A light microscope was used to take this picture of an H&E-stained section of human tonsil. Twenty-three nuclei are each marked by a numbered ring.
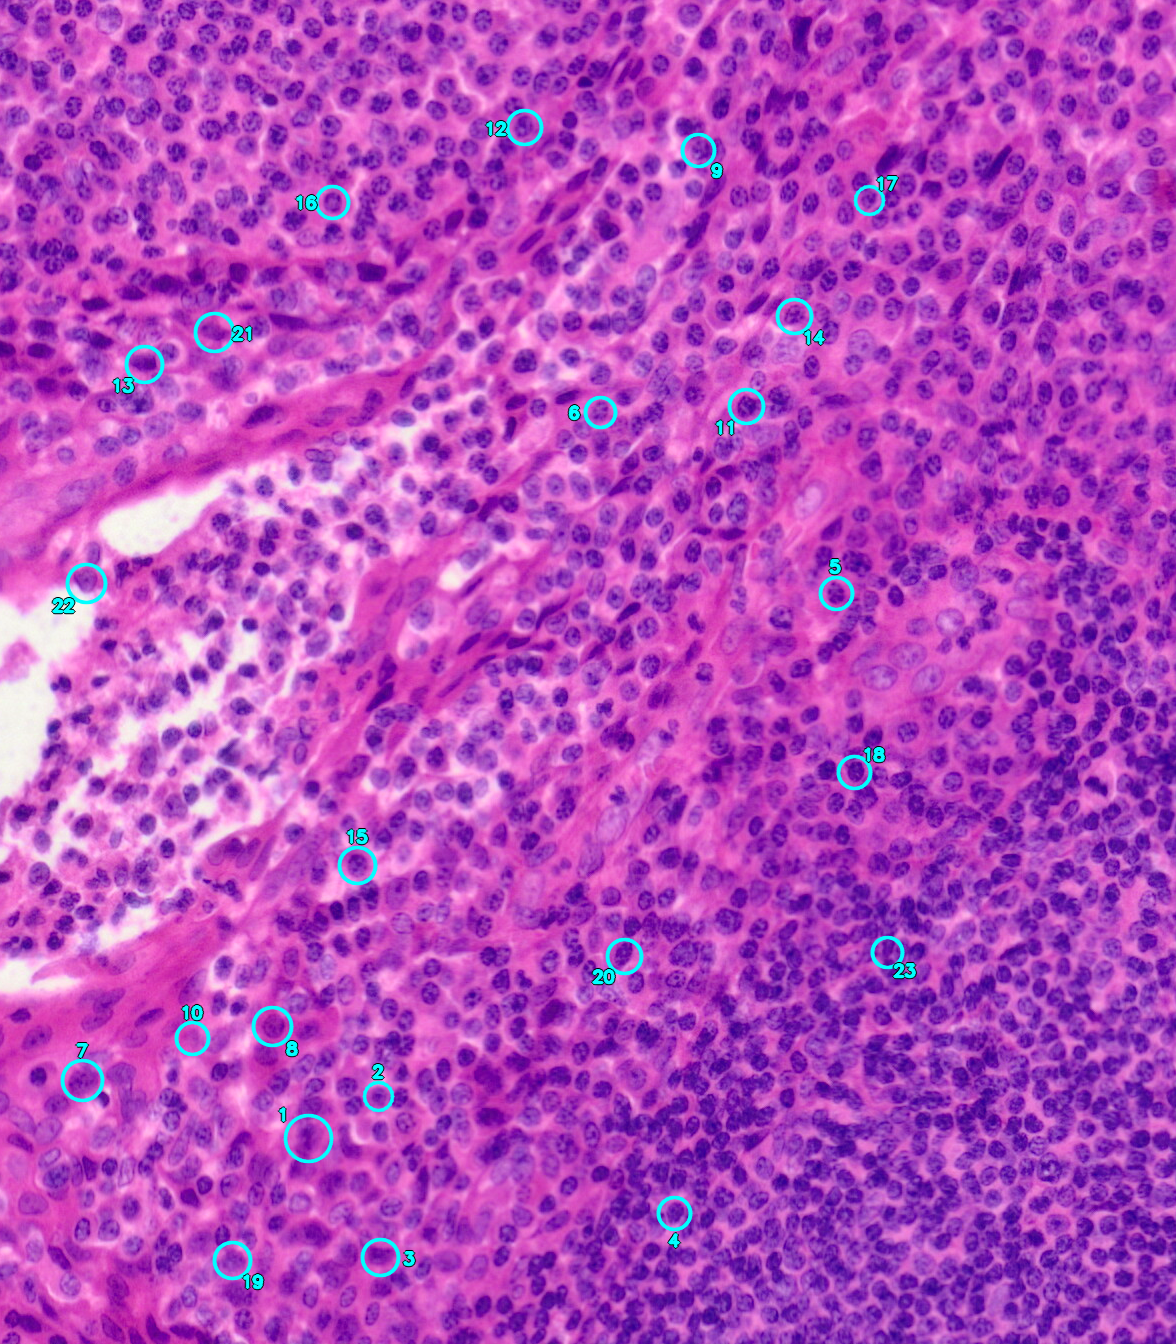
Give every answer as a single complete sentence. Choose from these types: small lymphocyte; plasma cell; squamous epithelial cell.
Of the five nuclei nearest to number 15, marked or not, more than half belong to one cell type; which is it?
The majority of the five nuclei closest to number 15 belong to squamous epithelial cells.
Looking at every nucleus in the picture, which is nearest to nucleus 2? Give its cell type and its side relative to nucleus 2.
The closest nucleus belongs to a plasma cell and sits to the right of nucleus 2.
